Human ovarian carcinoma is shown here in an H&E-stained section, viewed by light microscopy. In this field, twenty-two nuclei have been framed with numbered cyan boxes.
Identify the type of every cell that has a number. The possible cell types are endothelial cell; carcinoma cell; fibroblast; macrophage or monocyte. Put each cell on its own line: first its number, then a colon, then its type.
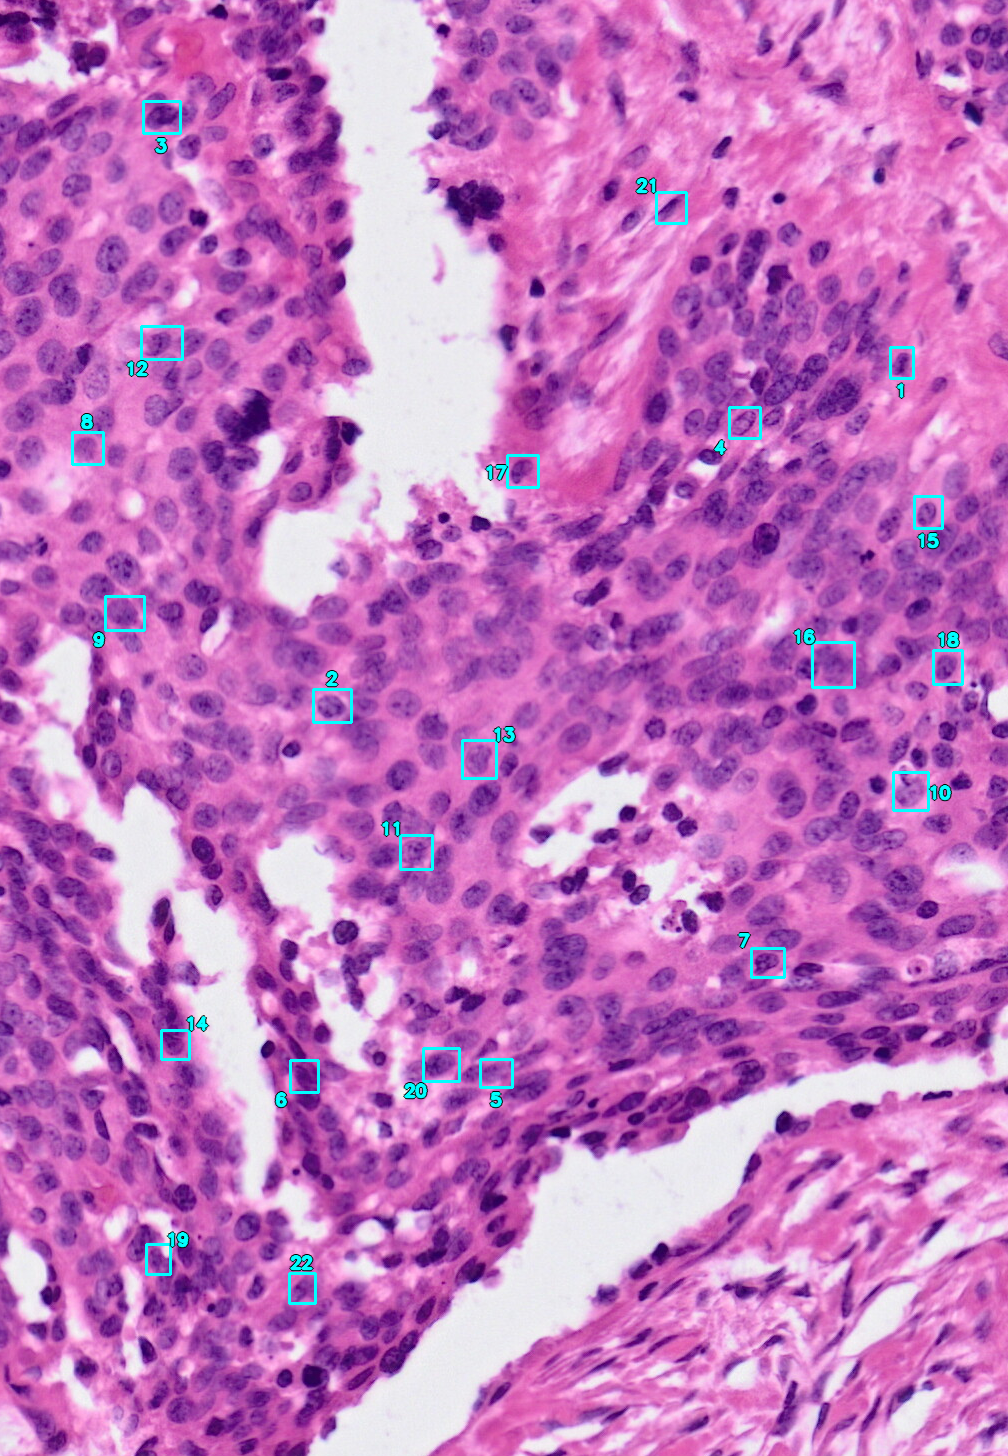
1: macrophage or monocyte
2: macrophage or monocyte
3: carcinoma cell
4: macrophage or monocyte
5: carcinoma cell
6: carcinoma cell
7: macrophage or monocyte
8: carcinoma cell
9: carcinoma cell
10: macrophage or monocyte
11: macrophage or monocyte
12: carcinoma cell
13: carcinoma cell
14: carcinoma cell
15: macrophage or monocyte
16: carcinoma cell
17: macrophage or monocyte
18: macrophage or monocyte
19: carcinoma cell
20: carcinoma cell
21: fibroblast
22: carcinoma cell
